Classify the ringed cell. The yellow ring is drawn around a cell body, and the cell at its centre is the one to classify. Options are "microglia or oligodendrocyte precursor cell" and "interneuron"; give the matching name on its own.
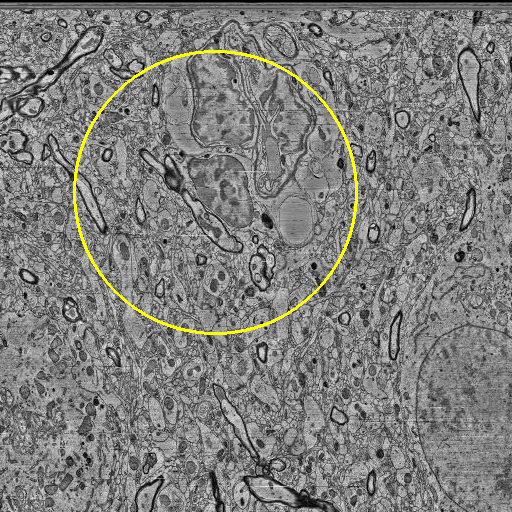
microglia or oligodendrocyte precursor cell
